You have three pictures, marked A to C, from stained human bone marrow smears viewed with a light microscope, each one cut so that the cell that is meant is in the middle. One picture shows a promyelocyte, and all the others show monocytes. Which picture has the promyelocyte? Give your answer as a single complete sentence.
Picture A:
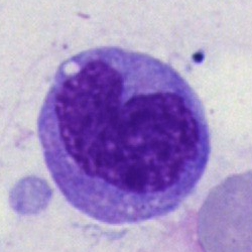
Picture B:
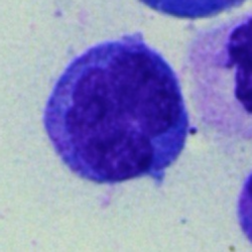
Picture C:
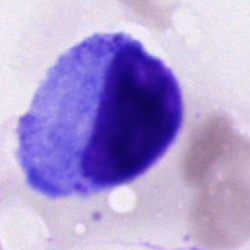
Picture C is the one that shows the promyelocyte.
